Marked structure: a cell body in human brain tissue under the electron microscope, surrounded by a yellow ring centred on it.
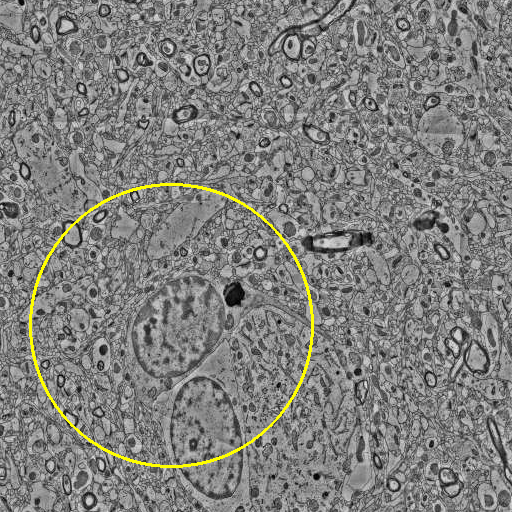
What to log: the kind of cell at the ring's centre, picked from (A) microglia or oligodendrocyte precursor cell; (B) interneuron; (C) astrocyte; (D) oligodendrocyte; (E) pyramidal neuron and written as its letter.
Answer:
D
